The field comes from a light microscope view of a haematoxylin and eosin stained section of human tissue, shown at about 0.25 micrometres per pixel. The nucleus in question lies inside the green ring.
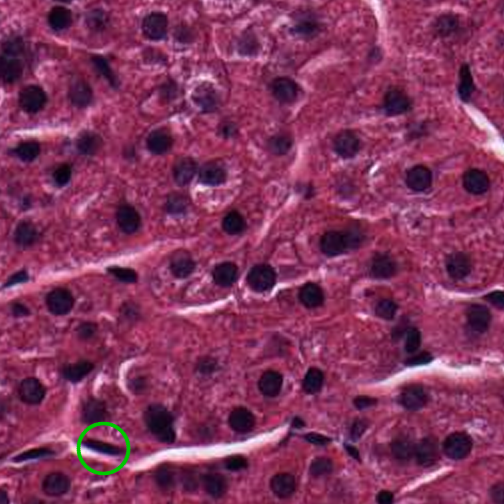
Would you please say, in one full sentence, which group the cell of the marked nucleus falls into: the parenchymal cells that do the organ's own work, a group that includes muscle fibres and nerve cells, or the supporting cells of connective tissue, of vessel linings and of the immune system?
The marked nucleus is counted as that of a supporting cell.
